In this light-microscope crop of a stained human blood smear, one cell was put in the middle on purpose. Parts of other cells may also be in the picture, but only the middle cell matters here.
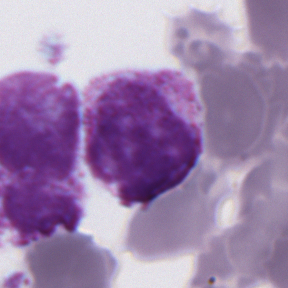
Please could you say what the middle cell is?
basophil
